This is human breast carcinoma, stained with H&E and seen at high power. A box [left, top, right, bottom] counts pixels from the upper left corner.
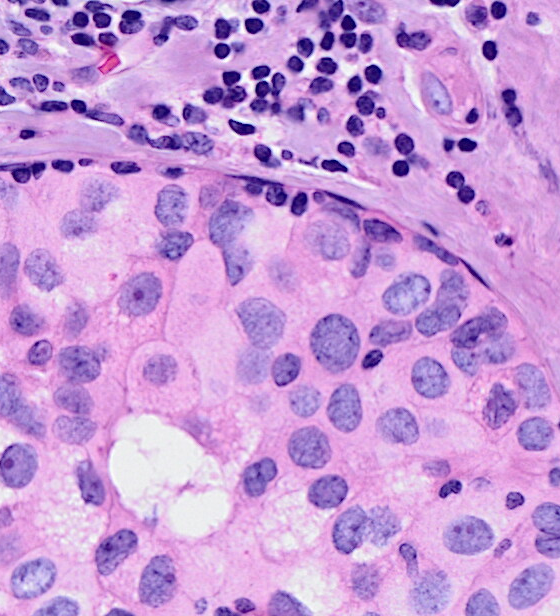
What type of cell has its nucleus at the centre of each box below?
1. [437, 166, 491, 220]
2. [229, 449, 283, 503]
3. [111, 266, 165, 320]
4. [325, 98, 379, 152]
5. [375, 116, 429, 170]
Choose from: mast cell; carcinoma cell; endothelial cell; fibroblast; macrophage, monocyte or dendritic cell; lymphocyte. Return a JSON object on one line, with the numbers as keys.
{"1": "lymphocyte", "2": "carcinoma cell", "3": "carcinoma cell", "4": "lymphocyte", "5": "lymphocyte"}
